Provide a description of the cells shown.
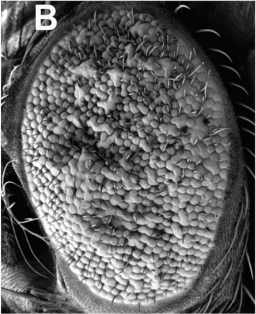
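Scanning electron view of a whole compound eye with a rough surface. The facets of the ommatidia are uneven in size and outline; across the center many appear fused, flattened or collapsed, forming irregular patches with no clear hexagonal lattice. Toward the margins some facets keep a more rounded, separated shape. Interommatidial bristles are present but scattered irregularly rather than at regular vertices. The eye outline itself is oval and intact, with head cuticle and bristles visible at the edges. Overall the orderly crystalline array of a normal compound eye is lost.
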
